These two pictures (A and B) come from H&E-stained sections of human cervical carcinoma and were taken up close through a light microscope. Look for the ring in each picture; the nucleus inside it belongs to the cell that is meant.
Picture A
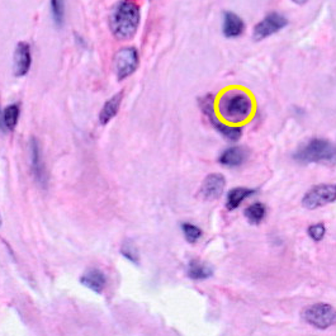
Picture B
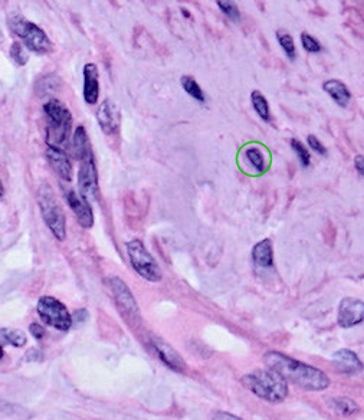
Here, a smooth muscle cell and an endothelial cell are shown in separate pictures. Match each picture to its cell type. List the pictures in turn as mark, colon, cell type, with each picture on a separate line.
A: endothelial cell
B: smooth muscle cell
